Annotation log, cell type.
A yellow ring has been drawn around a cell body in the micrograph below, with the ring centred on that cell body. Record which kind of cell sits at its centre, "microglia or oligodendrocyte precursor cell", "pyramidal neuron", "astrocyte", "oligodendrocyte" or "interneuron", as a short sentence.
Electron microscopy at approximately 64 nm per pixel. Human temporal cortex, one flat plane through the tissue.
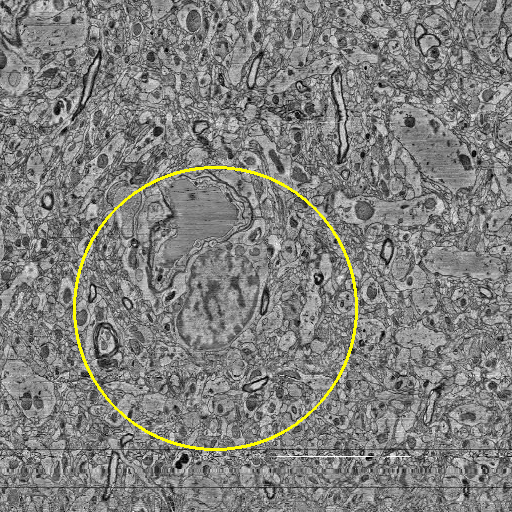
The cell at the centre of this ring is an oligodendrocyte.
